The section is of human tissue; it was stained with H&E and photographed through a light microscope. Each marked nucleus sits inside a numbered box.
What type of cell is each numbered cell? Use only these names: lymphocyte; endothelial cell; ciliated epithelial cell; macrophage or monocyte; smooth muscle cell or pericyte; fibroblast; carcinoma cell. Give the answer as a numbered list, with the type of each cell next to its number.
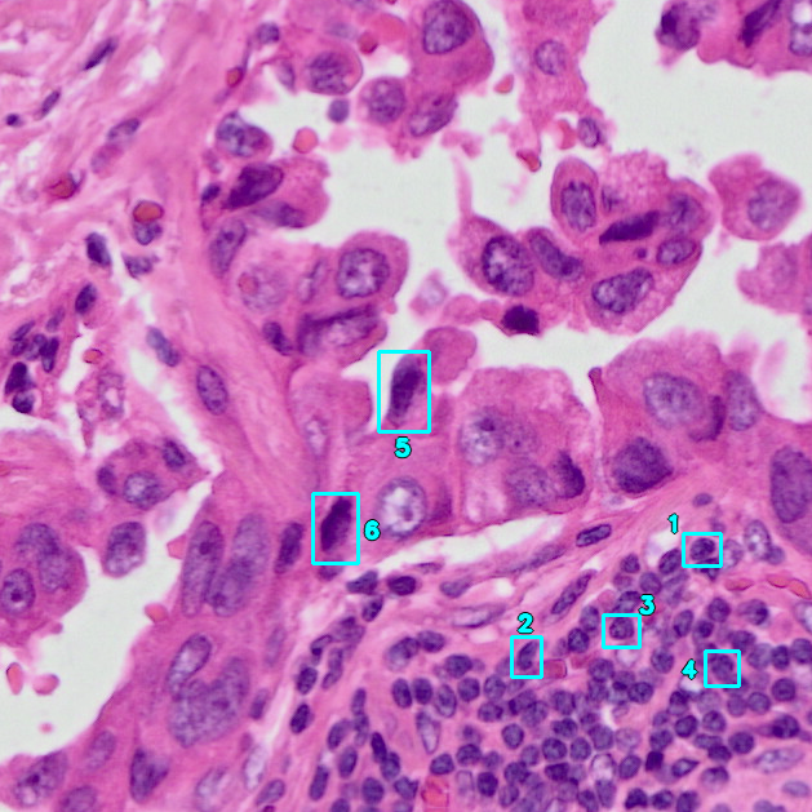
1. lymphocyte
2. lymphocyte
3. lymphocyte
4. lymphocyte
5. carcinoma cell
6. carcinoma cell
